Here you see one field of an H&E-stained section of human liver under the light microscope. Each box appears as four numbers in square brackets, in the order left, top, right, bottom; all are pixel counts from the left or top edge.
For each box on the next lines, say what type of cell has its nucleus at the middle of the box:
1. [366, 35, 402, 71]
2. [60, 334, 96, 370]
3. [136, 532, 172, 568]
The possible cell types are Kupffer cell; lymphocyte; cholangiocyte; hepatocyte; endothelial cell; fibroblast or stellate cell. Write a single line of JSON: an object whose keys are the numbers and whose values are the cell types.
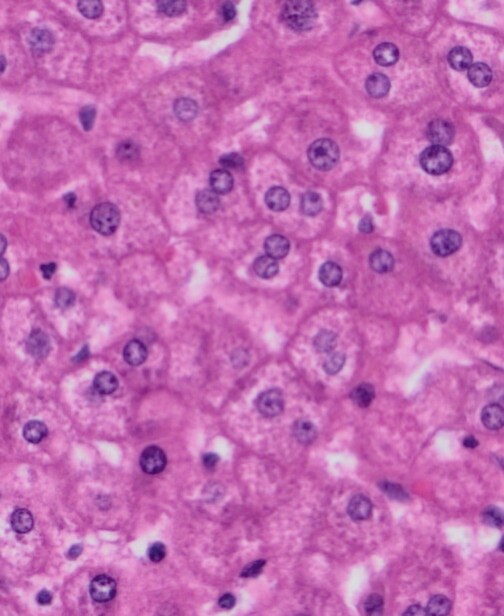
{"1": "hepatocyte", "2": "endothelial cell", "3": "lymphocyte"}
